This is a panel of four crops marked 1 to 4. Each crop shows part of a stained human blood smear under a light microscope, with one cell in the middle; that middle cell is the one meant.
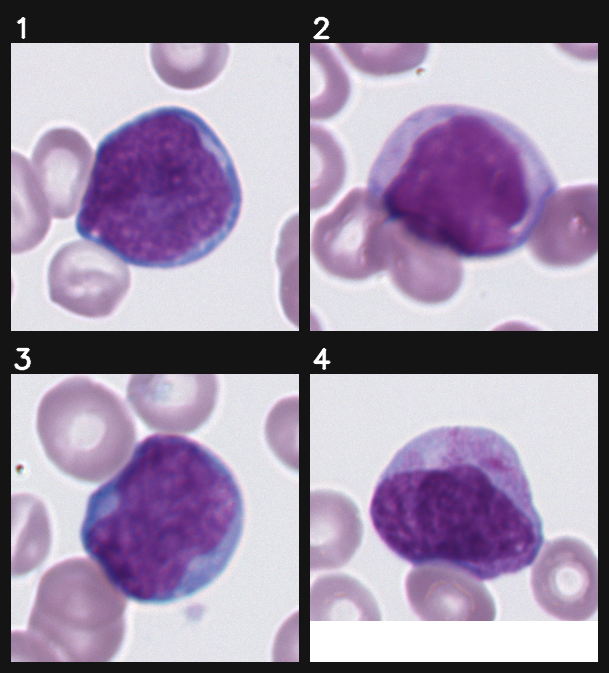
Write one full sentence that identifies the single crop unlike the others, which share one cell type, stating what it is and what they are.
The odd one out is crop 4, an atypical promyelocyte, and all other crops show myeloblasts.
